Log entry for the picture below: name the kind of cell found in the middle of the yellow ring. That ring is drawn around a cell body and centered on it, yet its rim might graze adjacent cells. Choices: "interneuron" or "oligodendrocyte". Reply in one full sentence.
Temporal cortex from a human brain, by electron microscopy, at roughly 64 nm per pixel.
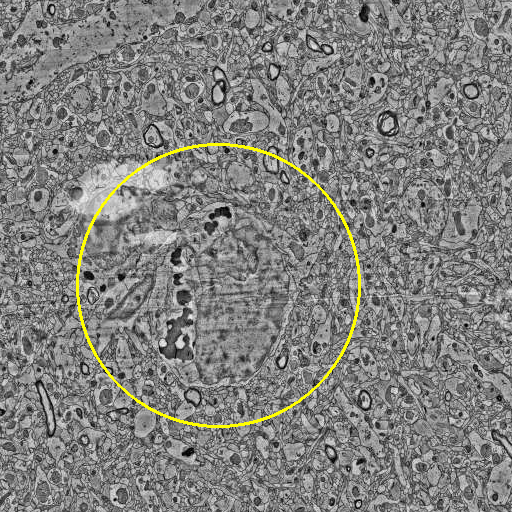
The cell in the middle of the yellow ring in this picture is an interneuron.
